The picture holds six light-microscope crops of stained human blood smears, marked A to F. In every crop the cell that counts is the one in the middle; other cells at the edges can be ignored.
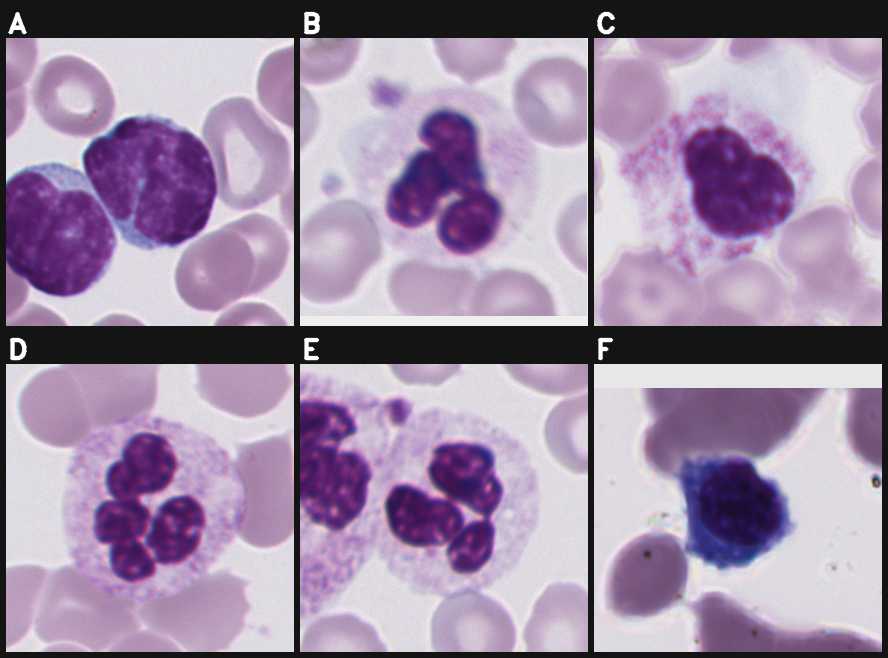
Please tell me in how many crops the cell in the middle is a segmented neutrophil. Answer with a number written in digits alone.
4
